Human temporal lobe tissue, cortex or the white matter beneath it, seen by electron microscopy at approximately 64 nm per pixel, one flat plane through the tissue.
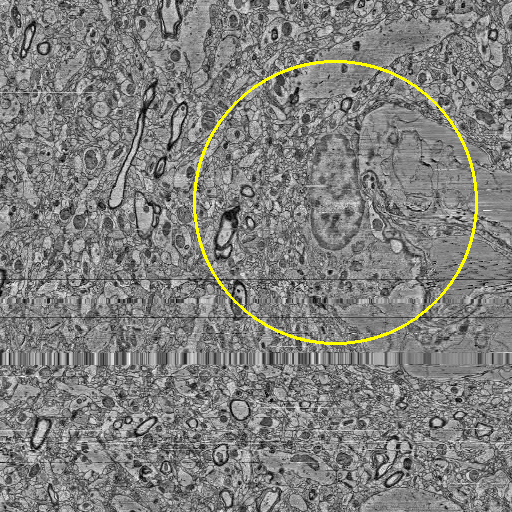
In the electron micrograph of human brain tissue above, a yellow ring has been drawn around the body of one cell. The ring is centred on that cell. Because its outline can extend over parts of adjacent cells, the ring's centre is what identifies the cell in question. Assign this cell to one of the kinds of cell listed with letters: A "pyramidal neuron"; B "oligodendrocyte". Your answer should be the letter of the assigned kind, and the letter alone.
B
